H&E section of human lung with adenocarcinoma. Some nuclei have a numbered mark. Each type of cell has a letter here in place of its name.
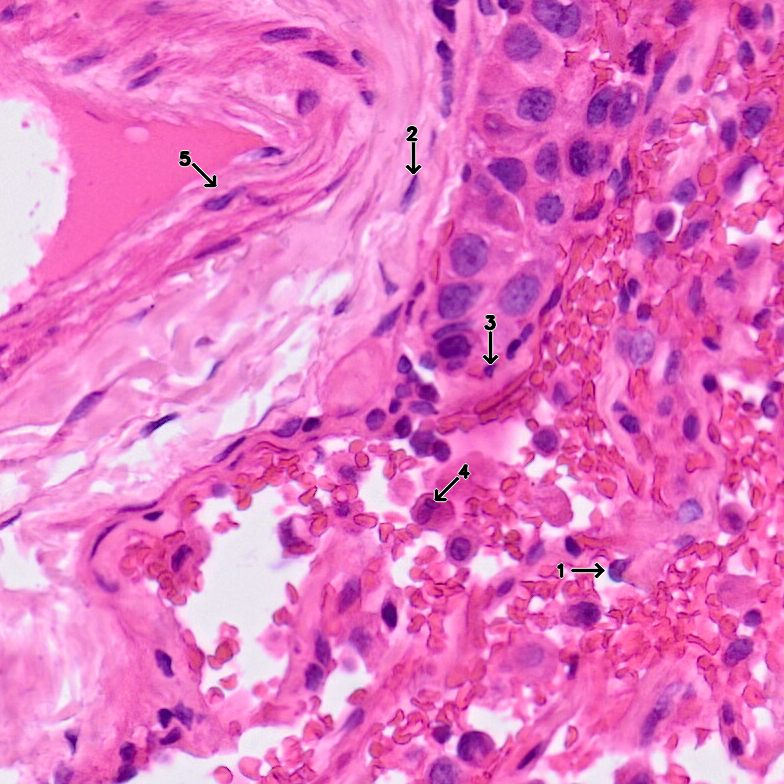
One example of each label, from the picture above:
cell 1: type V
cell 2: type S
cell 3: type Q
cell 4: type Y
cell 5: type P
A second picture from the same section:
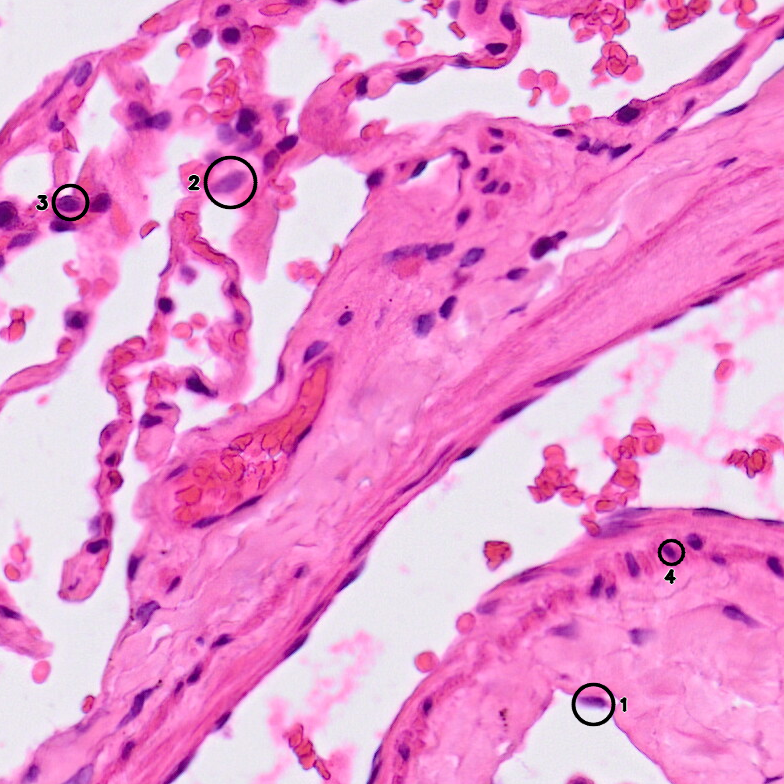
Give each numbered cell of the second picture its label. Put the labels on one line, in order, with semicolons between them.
type Q; type V; type V; type P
